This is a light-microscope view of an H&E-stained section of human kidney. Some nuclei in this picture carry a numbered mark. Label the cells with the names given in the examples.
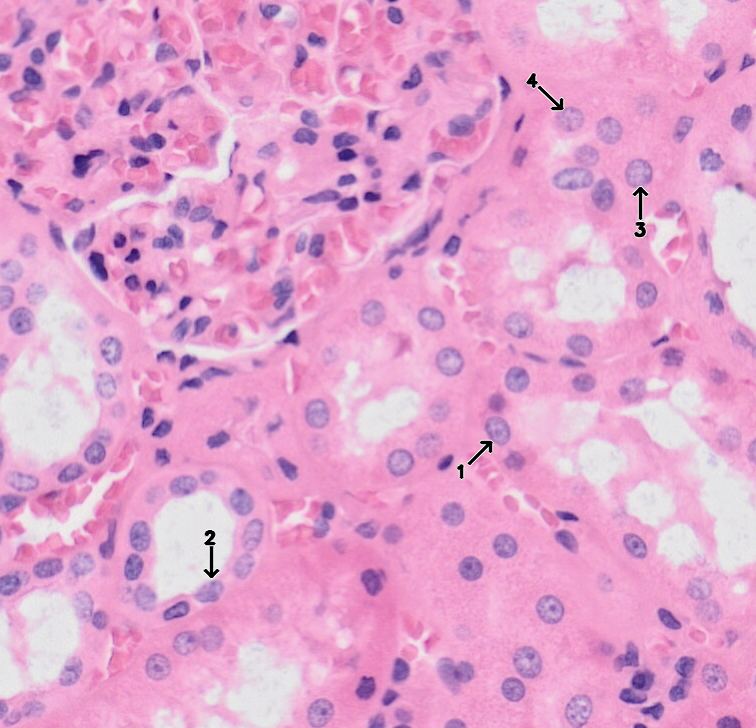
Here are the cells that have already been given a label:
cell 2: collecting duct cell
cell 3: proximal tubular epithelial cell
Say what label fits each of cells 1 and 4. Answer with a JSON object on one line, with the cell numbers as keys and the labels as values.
{"1": "proximal tubular epithelial cell", "4": "proximal tubular epithelial cell"}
